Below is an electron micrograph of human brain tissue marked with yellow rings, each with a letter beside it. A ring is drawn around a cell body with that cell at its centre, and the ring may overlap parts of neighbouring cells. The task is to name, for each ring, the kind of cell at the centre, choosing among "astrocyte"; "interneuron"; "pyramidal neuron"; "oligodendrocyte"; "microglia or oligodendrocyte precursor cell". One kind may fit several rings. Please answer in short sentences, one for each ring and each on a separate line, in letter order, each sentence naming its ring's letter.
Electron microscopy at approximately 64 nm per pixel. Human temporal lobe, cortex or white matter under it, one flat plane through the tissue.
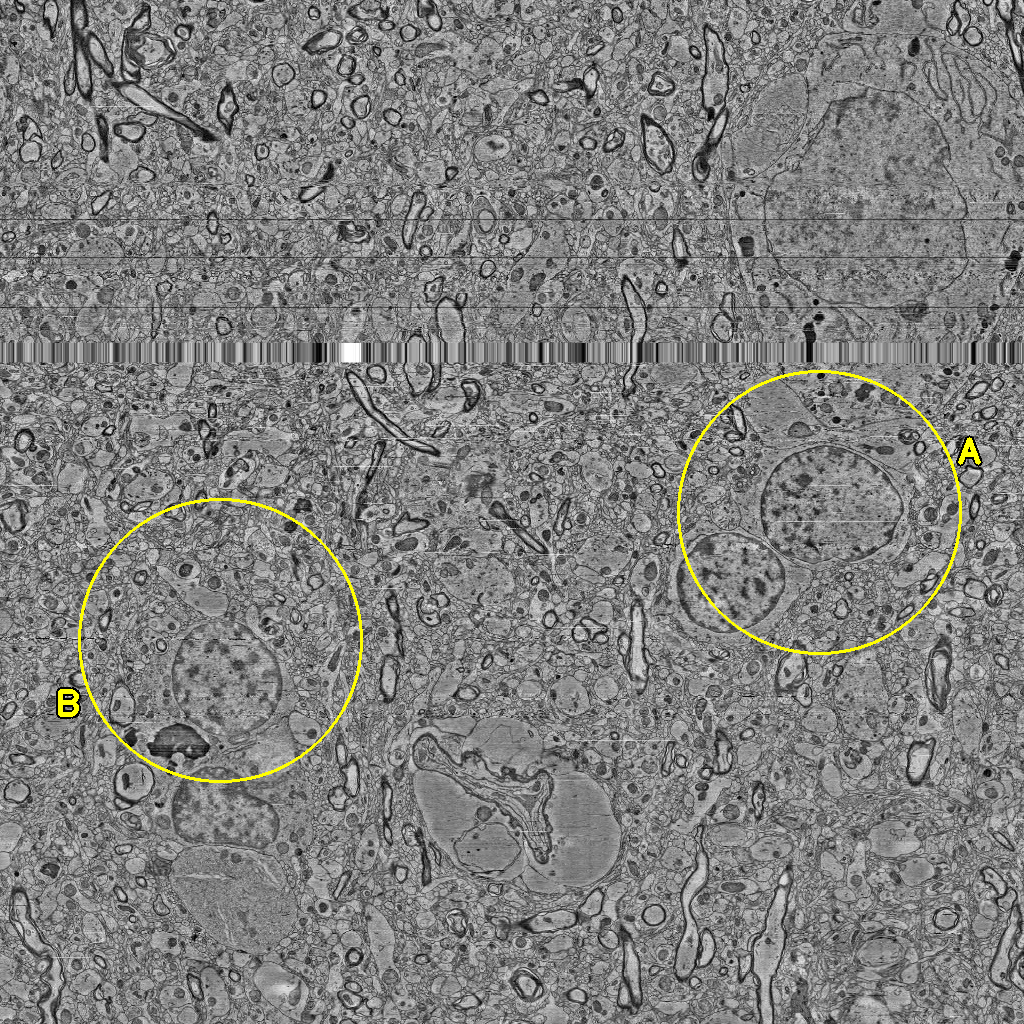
The ring with letter A is centred on a microglial cell or oligodendrocyte precursor cell.
The ring with letter B is centred on an oligodendrocyte.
